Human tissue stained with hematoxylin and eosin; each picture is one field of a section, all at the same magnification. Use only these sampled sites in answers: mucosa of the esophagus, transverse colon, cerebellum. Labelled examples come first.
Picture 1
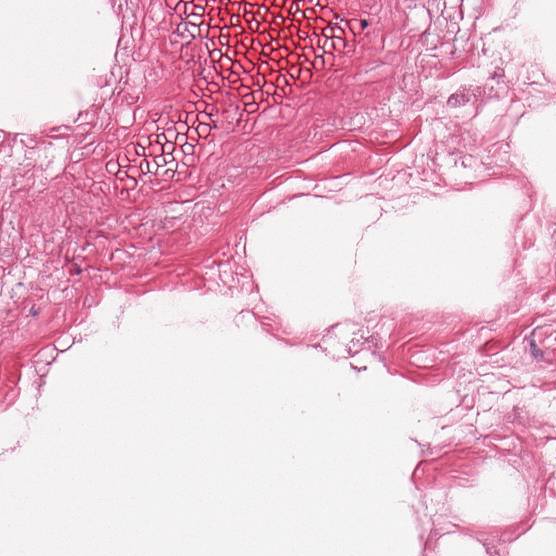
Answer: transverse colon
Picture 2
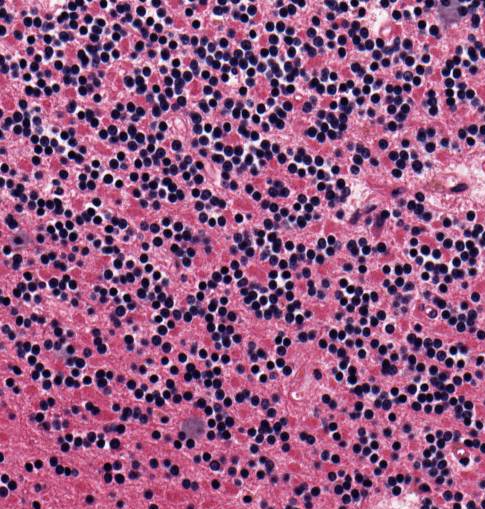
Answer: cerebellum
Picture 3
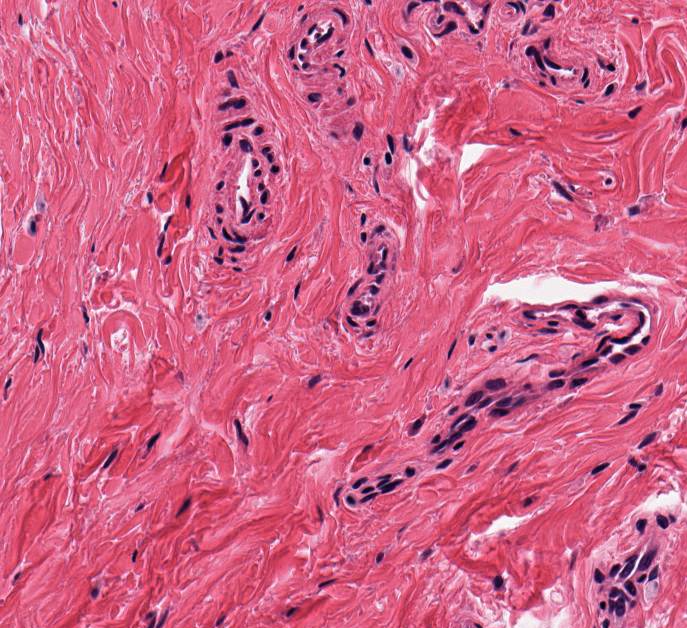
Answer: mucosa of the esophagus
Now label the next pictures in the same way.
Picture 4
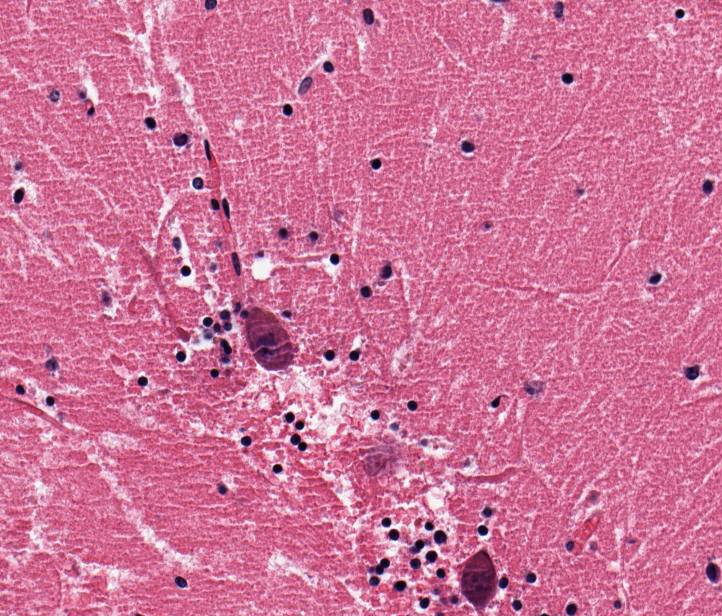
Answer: cerebellum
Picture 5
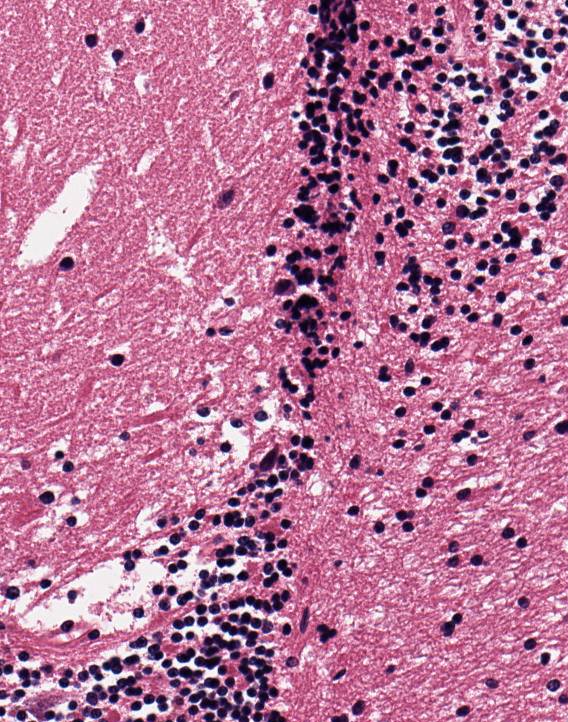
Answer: cerebellum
